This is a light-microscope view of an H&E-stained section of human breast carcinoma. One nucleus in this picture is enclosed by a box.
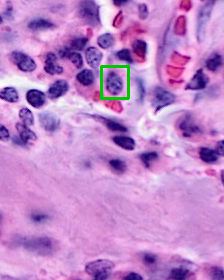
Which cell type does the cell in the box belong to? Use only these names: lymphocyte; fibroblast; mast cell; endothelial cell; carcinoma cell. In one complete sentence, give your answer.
As far as its identity is concerned, the cell in the box is a mast cell.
